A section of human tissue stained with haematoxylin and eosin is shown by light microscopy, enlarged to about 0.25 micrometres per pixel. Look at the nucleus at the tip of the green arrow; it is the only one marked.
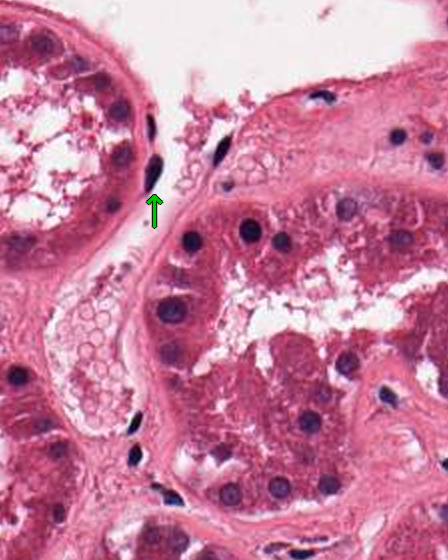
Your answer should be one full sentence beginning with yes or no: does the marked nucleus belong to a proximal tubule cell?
No, not a proximal tubule cell but a supporting cell is the owner of the marked nucleus.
